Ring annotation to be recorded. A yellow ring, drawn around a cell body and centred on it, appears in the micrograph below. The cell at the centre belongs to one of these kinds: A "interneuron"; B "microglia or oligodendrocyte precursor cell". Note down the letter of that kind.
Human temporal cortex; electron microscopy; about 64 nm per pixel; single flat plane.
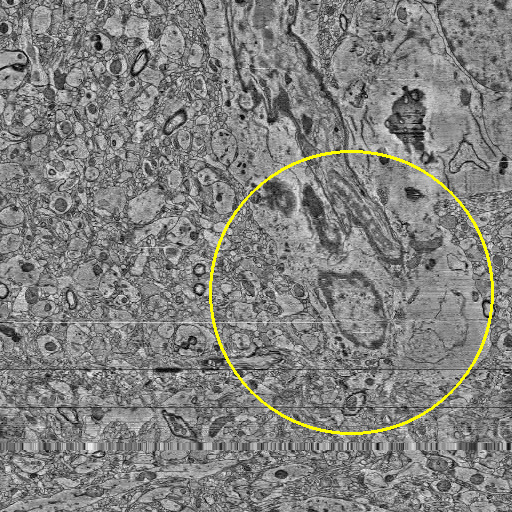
B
